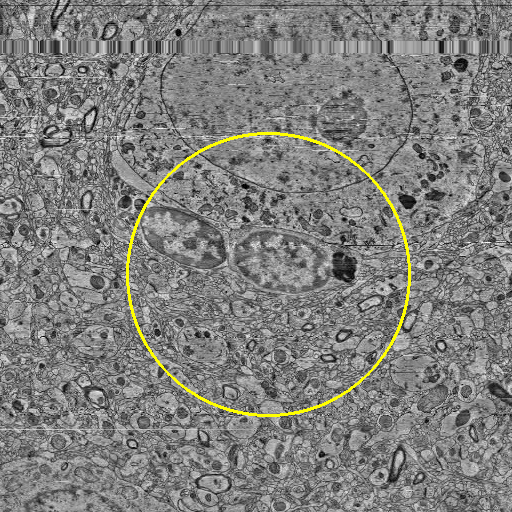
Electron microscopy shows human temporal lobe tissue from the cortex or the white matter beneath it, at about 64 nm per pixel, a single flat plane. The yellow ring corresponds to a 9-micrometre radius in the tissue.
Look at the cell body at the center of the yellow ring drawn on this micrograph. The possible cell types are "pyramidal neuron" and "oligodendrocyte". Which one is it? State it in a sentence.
The cell in the middle of the ring is an oligodendrocyte.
